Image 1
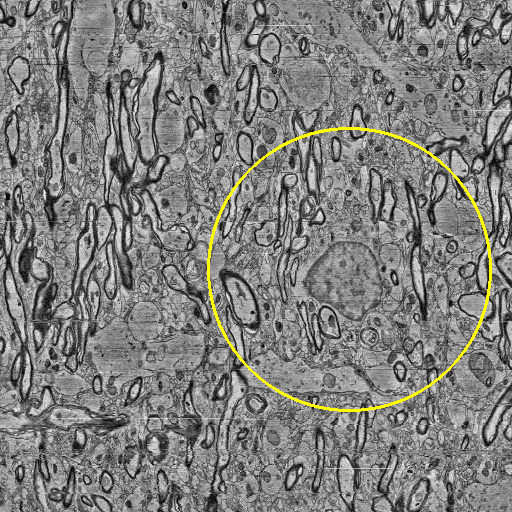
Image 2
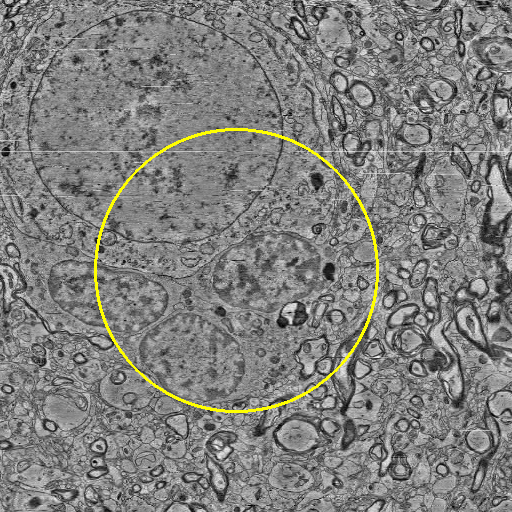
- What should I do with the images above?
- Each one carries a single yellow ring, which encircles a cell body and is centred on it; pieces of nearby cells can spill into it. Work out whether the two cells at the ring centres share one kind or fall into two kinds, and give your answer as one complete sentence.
The ring-centre cells of Image 1 and Image 2 share one kind.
